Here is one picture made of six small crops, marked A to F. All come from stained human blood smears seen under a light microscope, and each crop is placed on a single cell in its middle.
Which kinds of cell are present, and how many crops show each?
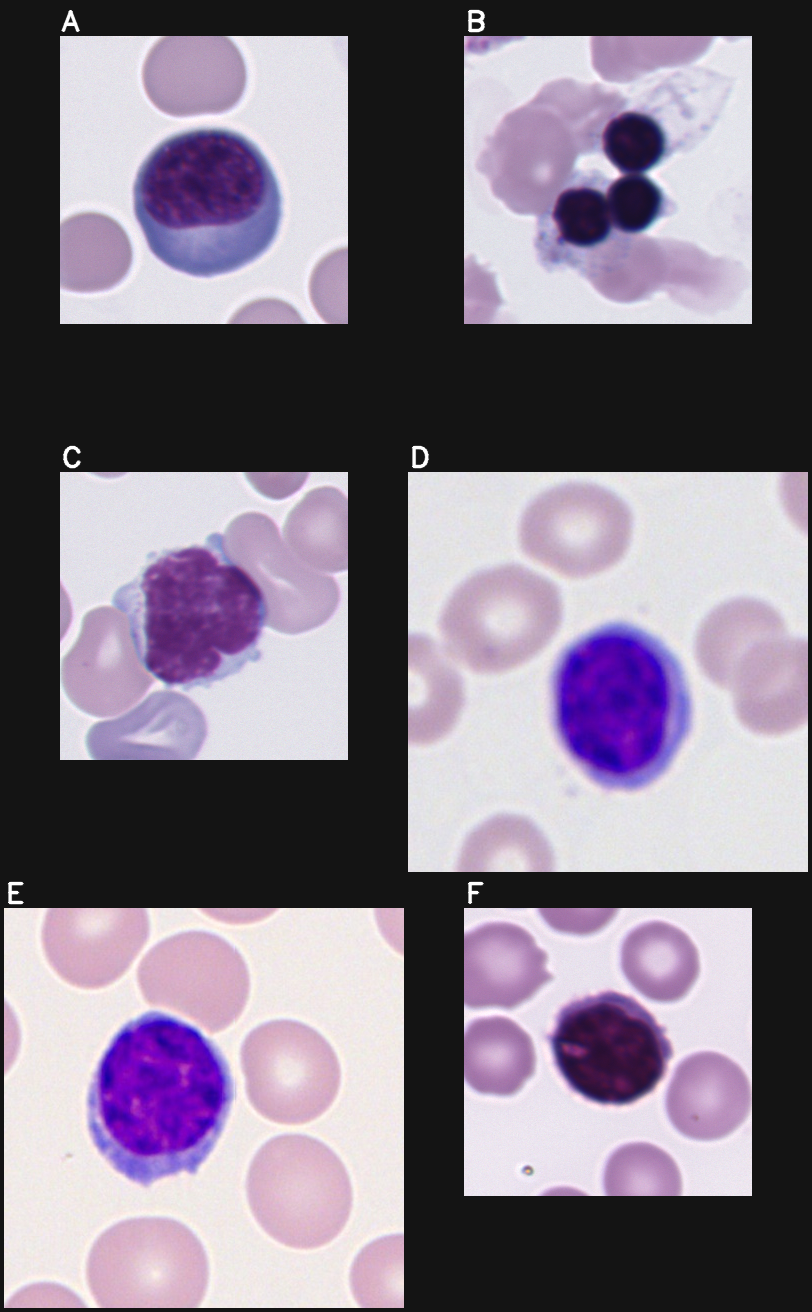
lymphocyte: 4
erythroblast: 2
